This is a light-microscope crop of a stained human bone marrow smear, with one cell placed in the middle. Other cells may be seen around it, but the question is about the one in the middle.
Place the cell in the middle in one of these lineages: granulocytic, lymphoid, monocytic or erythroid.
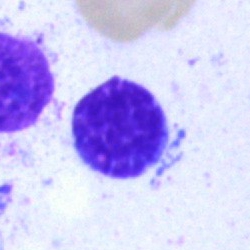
lymphoid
